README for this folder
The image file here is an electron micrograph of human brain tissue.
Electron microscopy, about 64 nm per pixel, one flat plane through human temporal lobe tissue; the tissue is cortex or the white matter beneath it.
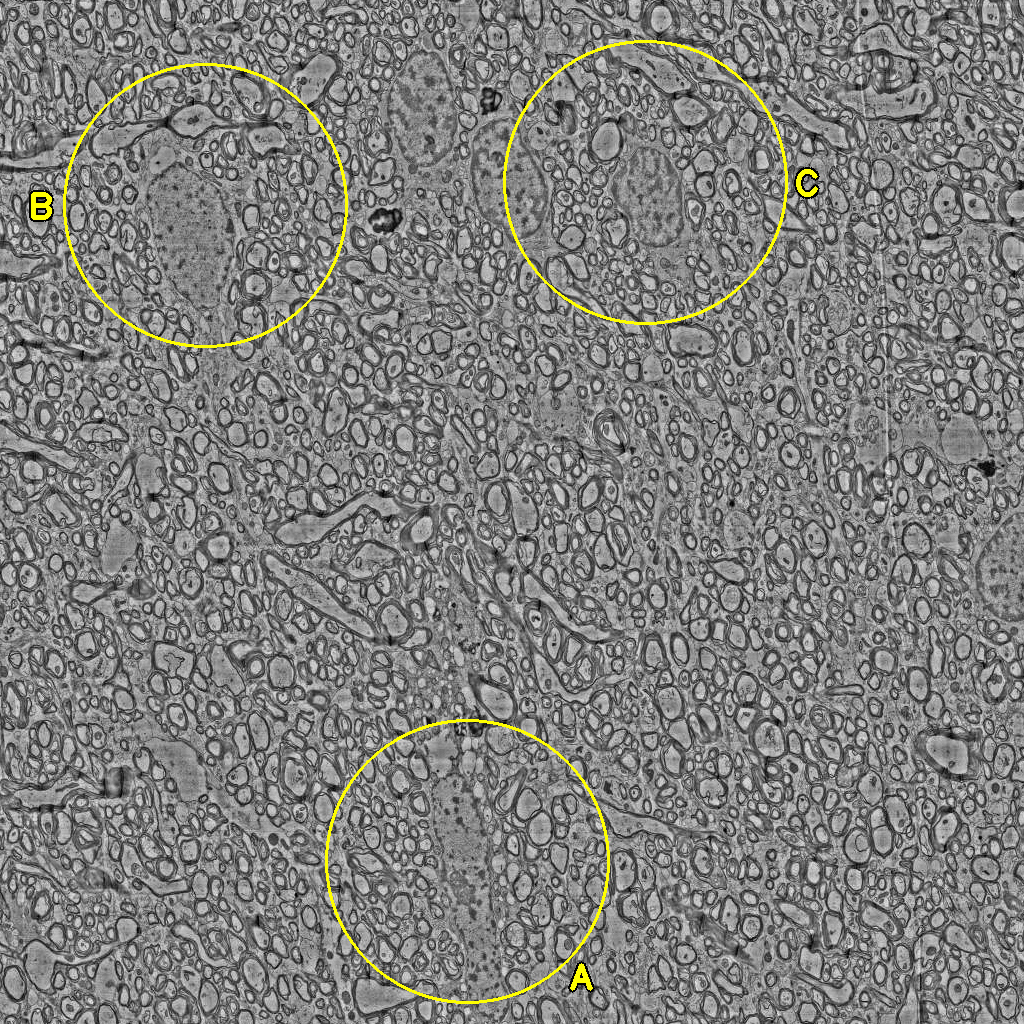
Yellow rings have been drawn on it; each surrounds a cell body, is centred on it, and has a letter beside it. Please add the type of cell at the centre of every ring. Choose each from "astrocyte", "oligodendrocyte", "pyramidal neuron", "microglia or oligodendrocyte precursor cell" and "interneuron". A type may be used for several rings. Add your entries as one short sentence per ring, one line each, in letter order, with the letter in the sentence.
Ring A marks the cell body of an astrocyte.
Ring B marks the cell body of an astrocyte.
Ring C marks the cell body of an oligodendrocyte.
